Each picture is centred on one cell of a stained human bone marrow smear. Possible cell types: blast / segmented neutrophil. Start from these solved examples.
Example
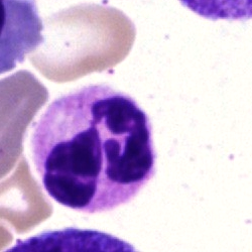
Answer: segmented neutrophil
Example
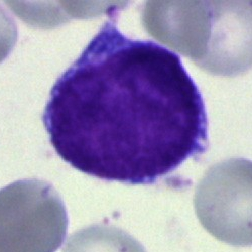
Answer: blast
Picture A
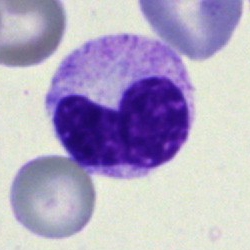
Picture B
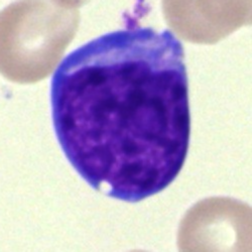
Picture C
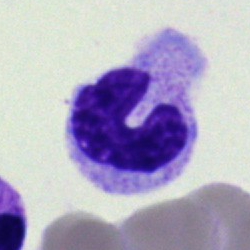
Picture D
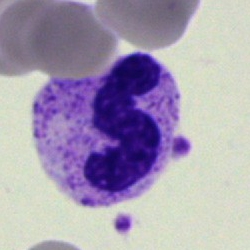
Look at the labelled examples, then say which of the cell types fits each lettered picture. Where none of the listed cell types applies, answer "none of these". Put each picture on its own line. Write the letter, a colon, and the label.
A: none of these
B: blast
C: none of these
D: segmented neutrophil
